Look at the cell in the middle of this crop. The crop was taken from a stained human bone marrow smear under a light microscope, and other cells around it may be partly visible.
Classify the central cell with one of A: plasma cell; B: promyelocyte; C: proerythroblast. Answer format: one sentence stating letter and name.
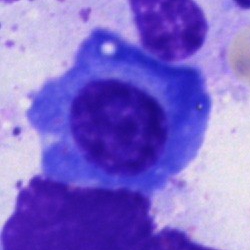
Option A is to be chosen, as the central cell is a plasma cell.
